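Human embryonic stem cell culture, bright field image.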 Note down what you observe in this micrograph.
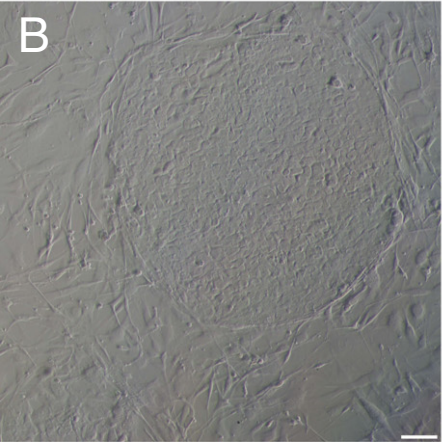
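The colony is roughly round, with a distinct edge, and made of densely packed small cells that give it an even texture. Around it lie flat, elongated spindle-shaped cells spread loosely over the dish.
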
